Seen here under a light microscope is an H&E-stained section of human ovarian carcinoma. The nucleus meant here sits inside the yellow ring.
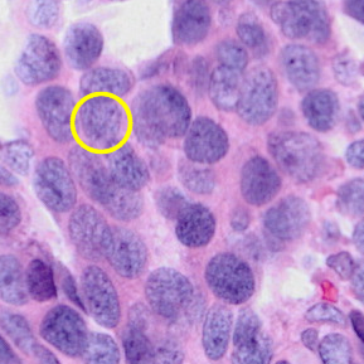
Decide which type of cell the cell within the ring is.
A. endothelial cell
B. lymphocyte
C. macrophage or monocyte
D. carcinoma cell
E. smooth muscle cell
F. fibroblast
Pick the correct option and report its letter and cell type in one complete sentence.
Since the cell within the ring is a carcinoma cell, option D is correct.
